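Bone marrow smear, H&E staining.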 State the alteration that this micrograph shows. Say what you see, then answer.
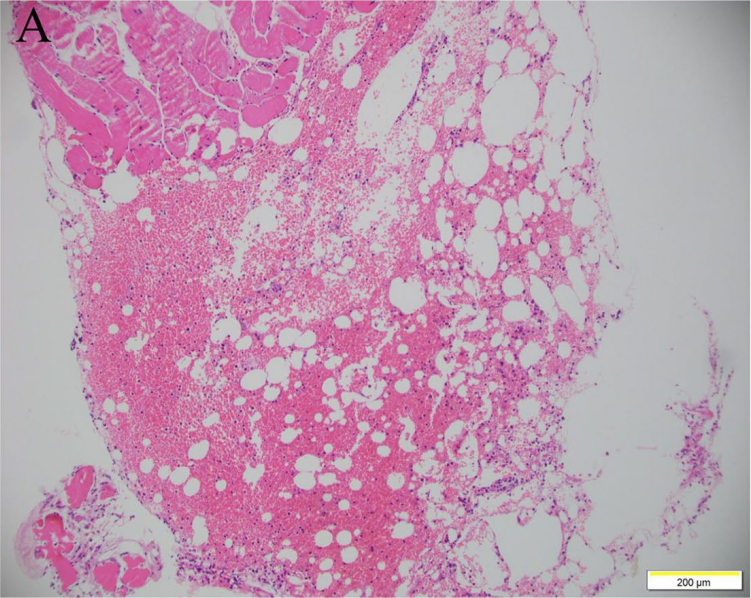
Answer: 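Large areas of the marrow space are filled with densely packed pink-red red cells. Nucleated cells are sparse among the red cells. Many round empty fat vacuoles lie within the red-cell-filled areas.
Answer: increased red blood cells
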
